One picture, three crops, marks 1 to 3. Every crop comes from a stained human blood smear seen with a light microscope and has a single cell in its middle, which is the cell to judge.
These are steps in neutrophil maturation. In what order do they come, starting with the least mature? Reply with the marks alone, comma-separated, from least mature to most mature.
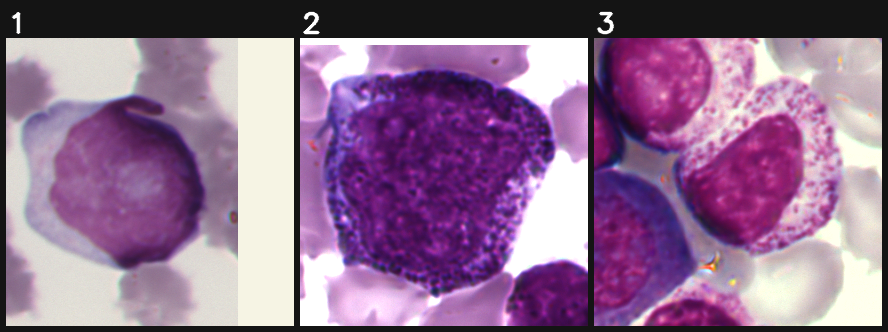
1, 2, 3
